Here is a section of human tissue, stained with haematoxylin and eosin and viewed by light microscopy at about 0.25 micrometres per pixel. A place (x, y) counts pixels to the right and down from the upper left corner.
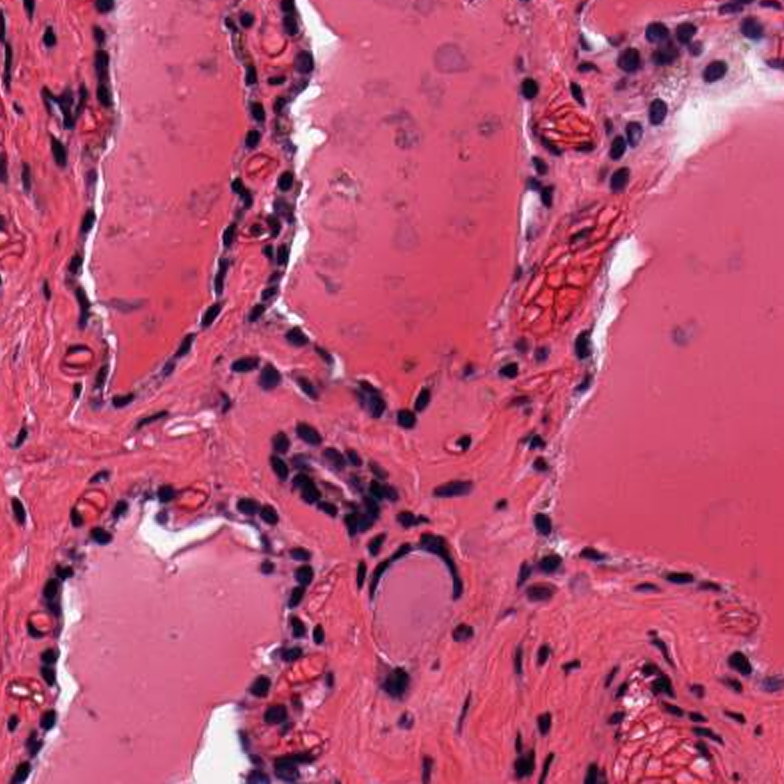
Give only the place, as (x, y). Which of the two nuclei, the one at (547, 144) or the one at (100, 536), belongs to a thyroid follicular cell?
(100, 536)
